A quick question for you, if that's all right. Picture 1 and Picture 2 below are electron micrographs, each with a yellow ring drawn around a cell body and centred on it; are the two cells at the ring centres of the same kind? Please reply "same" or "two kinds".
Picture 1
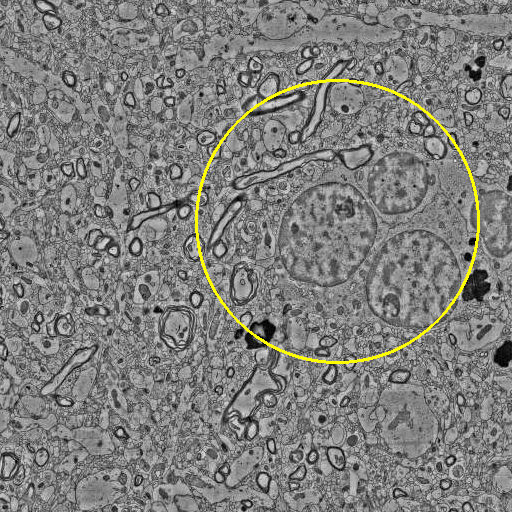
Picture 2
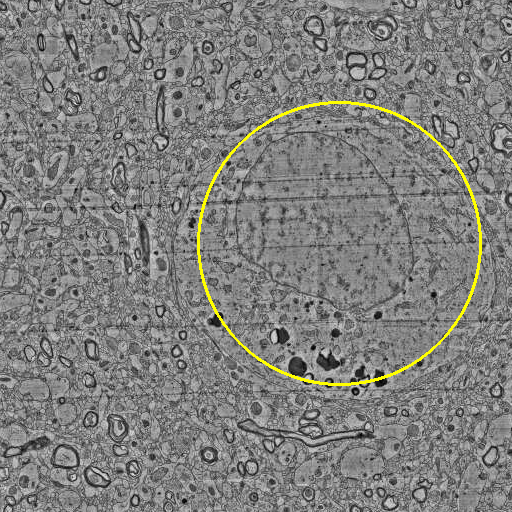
two kinds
